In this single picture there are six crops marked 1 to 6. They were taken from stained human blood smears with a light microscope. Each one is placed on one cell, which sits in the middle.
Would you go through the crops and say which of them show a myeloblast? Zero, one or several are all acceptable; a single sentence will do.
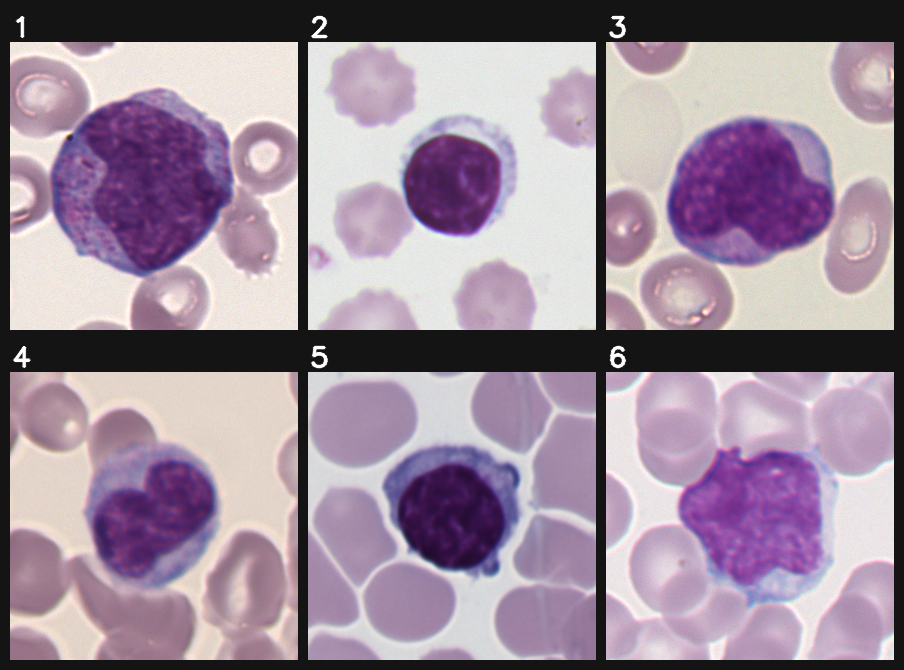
None of the crops, from first to last, shows a myeloblast.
